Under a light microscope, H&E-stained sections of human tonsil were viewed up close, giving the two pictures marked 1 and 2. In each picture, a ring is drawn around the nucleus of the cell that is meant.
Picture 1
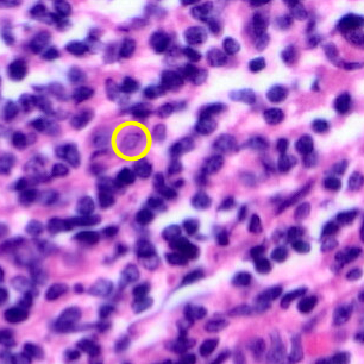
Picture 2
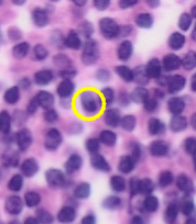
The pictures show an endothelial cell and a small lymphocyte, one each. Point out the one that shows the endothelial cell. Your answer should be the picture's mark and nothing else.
1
